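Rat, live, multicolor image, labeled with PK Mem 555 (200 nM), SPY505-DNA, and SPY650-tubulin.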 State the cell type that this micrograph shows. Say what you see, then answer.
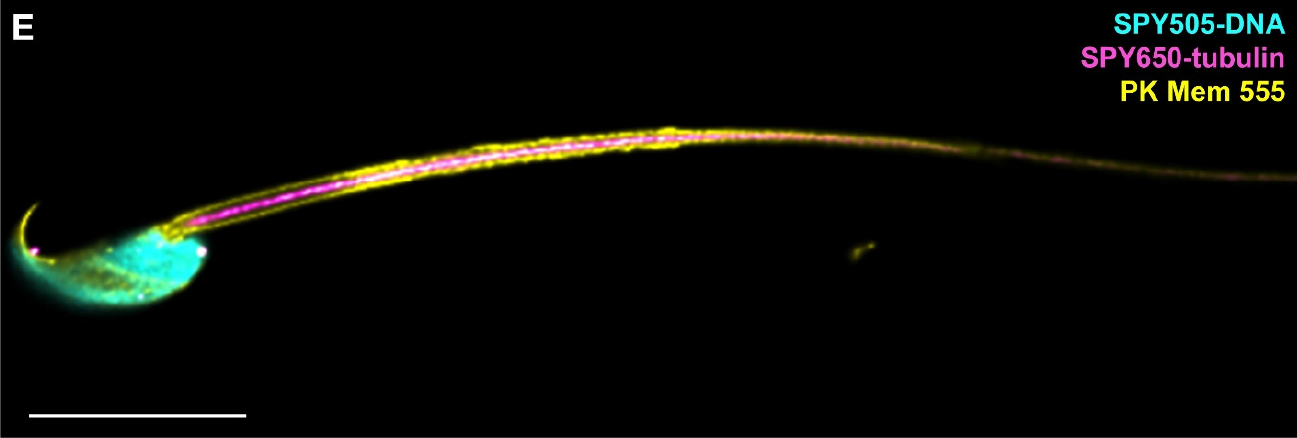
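A single cell with a small hooked, sickle-shaped head. A long thin tail extends from the head across the panel. The tail is thicker near the head and tapers distally.
Hence: sperm.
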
